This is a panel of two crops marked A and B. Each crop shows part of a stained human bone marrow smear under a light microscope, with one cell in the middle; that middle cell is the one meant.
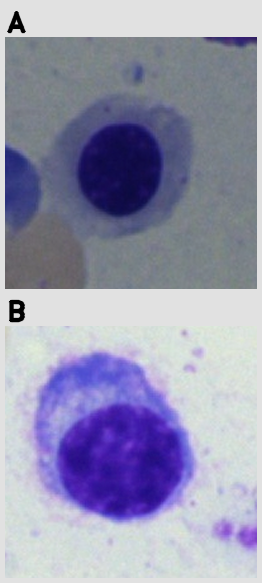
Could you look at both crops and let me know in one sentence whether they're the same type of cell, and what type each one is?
No, an erythroblast is centred in crop A, and a plasma cell is centred in crop B.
